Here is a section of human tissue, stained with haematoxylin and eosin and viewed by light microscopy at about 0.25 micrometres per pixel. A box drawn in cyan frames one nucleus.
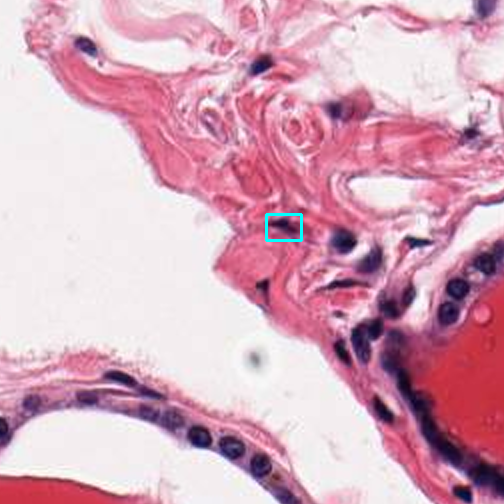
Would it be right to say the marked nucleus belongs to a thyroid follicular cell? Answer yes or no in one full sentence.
No, belonging to a supporting cell, the marked nucleus is not part of a thyroid follicular cell.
